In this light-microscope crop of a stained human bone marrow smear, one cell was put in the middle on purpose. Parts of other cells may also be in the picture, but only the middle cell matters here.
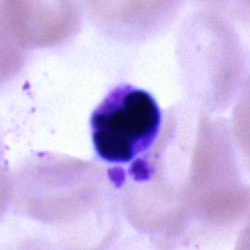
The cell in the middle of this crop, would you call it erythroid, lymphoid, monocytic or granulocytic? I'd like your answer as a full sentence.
The cell at the center is recorded as granulocytic in lineage.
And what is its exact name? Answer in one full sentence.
Occupying the centre of the crop is a segmented neutrophil.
